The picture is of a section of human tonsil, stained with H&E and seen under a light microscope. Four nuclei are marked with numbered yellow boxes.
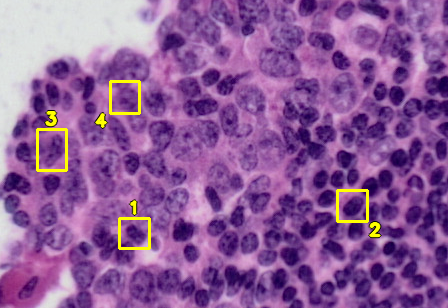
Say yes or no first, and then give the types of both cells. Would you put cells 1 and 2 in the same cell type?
No, by type, cell 1 is a proliferating B cell and cell 2 is a small lymphocyte.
